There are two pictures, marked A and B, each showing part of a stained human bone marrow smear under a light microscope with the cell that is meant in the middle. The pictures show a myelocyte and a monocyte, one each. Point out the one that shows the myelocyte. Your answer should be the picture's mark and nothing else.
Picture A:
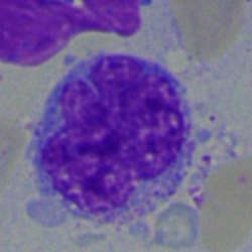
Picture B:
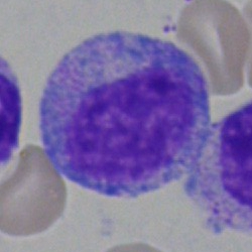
B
